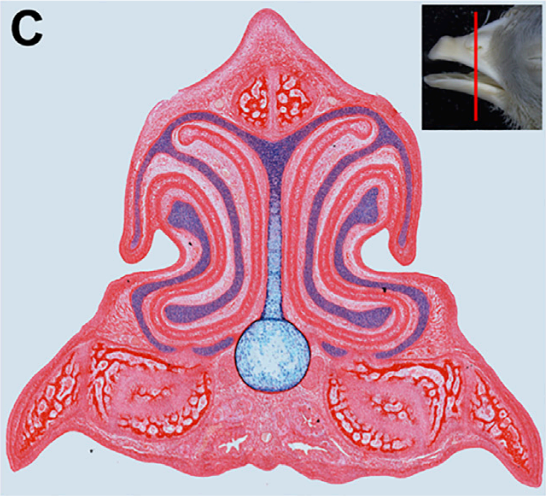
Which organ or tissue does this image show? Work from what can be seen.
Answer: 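Beak. The inset photograph shows a bird head with a beak and a red line across it. The section has a triangular outline with paired scrolled airways around a midline.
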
